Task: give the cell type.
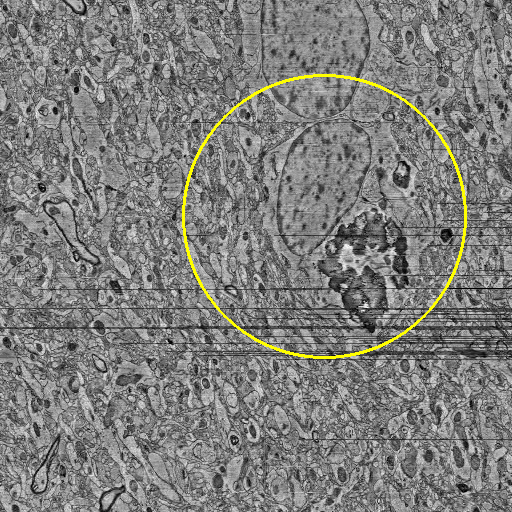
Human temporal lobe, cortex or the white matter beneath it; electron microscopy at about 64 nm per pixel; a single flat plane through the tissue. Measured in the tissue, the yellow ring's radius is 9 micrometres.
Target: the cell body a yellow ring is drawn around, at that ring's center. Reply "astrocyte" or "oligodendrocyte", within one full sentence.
In this picture, the cell whose body lies at the ring's center is an astrocyte.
